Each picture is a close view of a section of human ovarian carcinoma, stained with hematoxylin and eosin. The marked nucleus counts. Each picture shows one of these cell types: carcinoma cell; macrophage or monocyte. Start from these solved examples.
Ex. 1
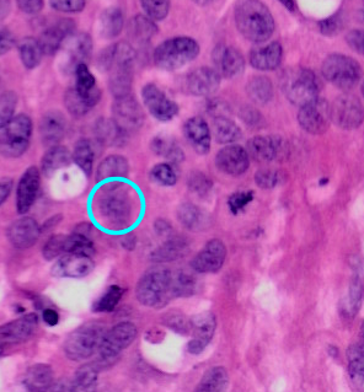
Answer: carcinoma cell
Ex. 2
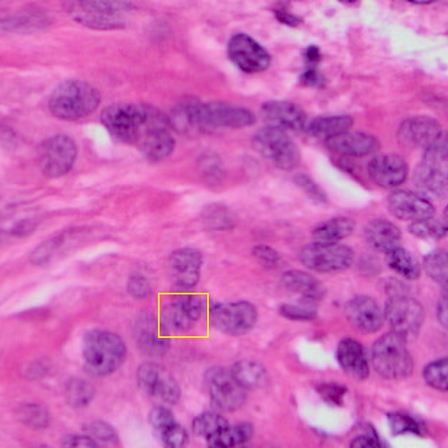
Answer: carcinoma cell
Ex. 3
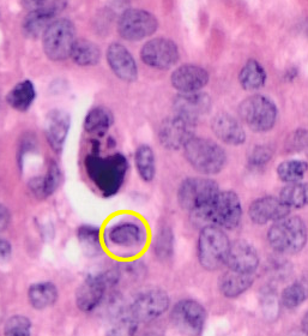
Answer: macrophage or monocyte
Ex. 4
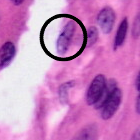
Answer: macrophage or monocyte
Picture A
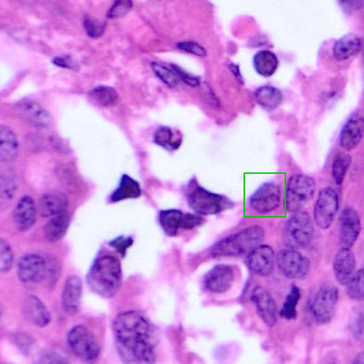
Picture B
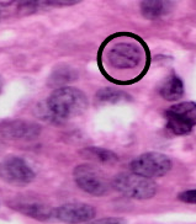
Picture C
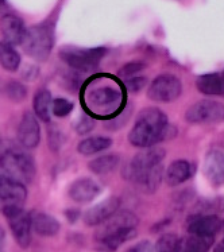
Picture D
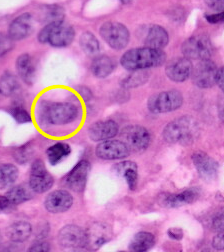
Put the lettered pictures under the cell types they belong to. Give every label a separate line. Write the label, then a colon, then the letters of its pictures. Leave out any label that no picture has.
carcinoma cell: A, C, D
macrophage or monocyte: B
